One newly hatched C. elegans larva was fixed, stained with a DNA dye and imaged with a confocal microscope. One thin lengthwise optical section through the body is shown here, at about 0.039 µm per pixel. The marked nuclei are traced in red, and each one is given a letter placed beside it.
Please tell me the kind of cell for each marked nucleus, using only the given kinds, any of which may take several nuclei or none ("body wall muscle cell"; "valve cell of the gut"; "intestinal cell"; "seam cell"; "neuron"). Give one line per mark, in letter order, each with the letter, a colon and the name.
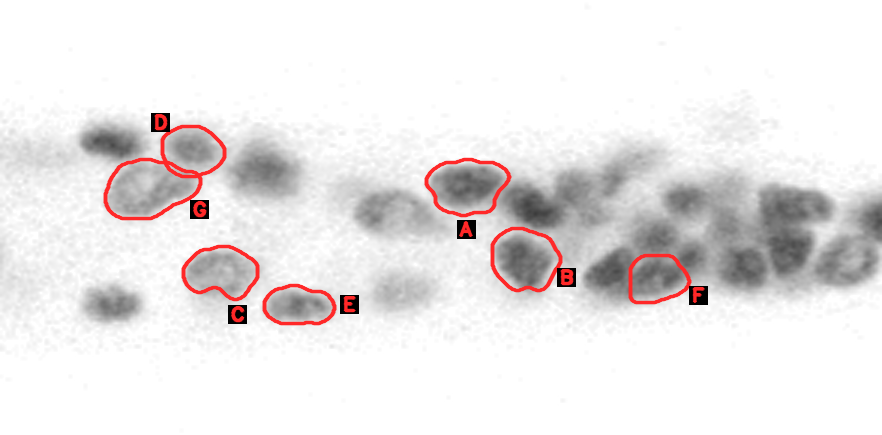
A: neuron
B: valve cell of the gut
C: intestinal cell
D: neuron
E: body wall muscle cell
F: body wall muscle cell
G: intestinal cell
